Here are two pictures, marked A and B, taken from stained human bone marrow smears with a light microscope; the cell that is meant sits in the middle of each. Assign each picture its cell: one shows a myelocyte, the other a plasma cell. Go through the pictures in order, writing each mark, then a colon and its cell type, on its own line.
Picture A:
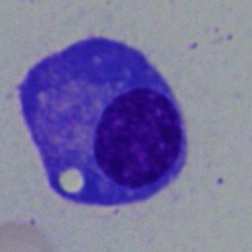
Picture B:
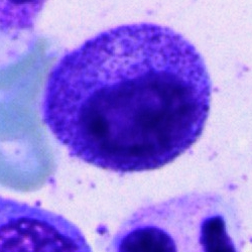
A: plasma cell
B: myelocyte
